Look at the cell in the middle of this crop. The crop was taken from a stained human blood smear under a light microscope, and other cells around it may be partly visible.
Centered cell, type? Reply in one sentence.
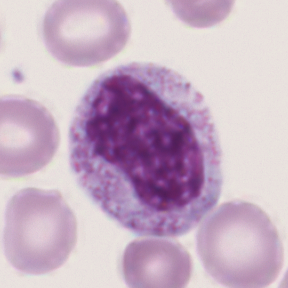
At the crop's centre, the cell is a metamyelocyte.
